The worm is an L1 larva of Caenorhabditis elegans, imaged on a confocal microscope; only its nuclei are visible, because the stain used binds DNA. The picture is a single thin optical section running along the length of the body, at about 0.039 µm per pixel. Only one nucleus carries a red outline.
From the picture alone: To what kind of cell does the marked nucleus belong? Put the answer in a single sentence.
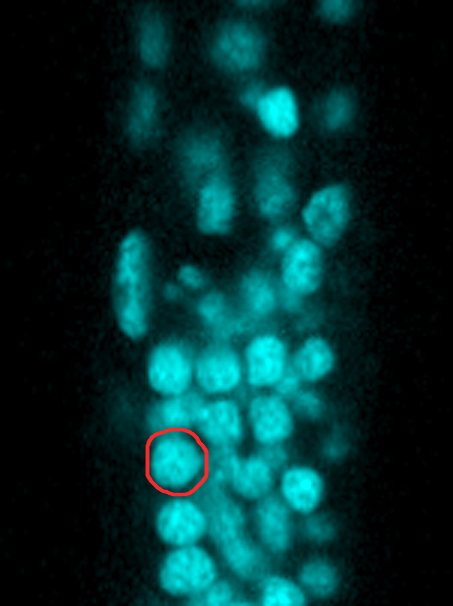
The marked cell is a neuron.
